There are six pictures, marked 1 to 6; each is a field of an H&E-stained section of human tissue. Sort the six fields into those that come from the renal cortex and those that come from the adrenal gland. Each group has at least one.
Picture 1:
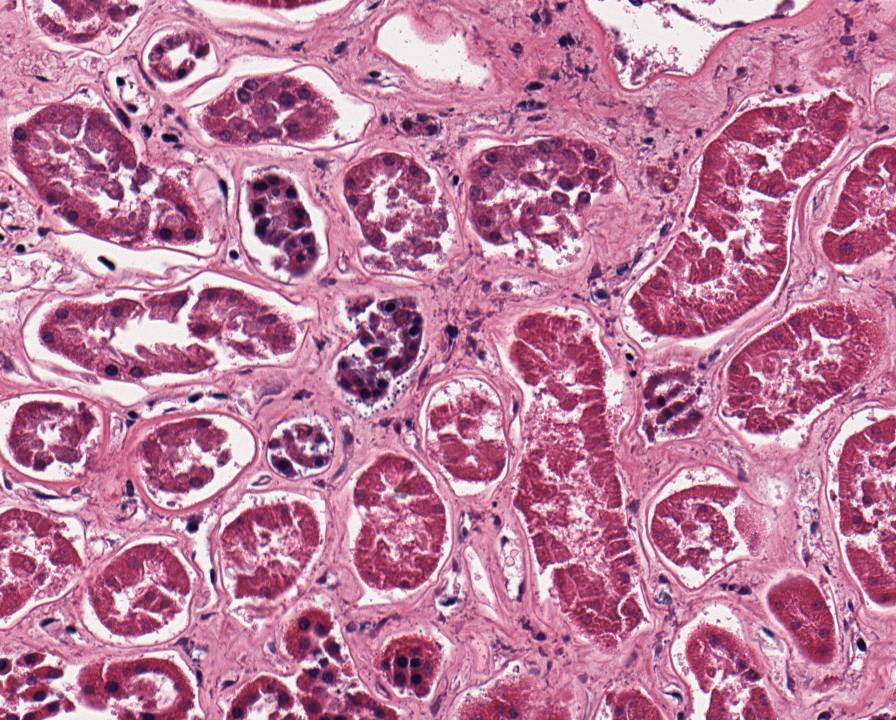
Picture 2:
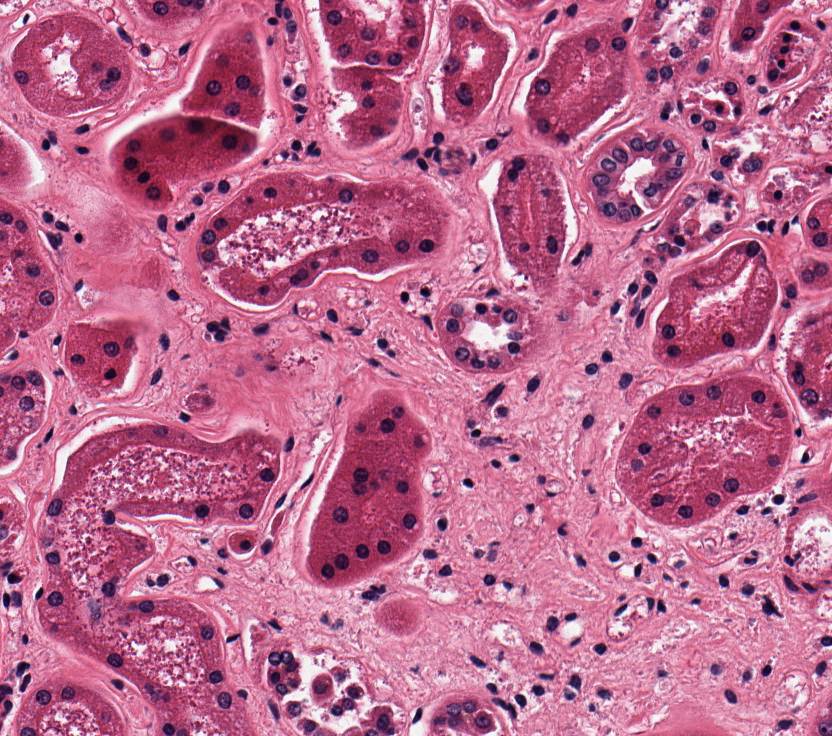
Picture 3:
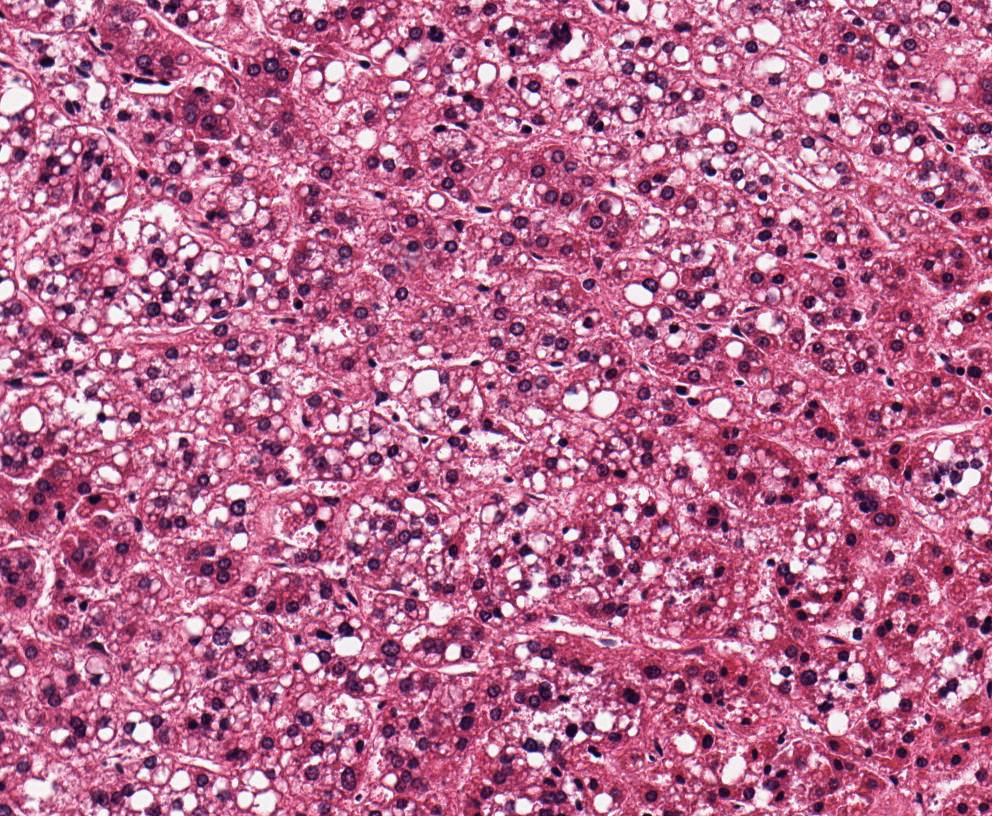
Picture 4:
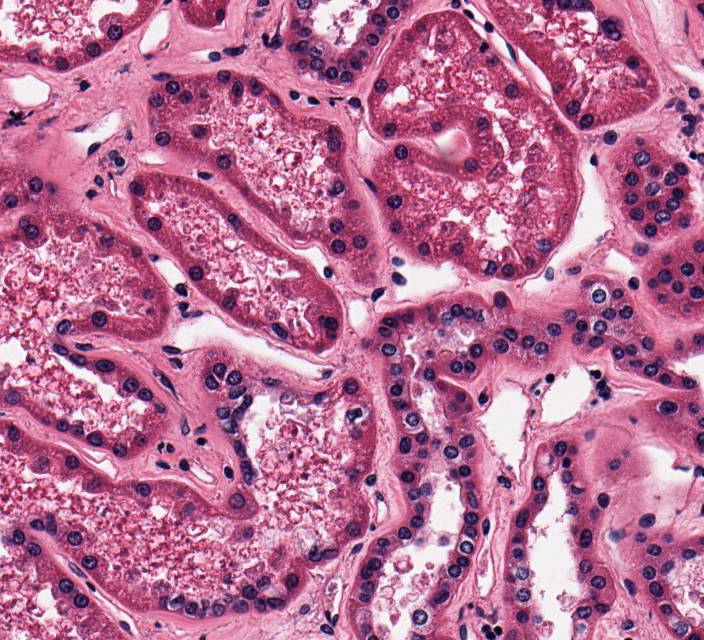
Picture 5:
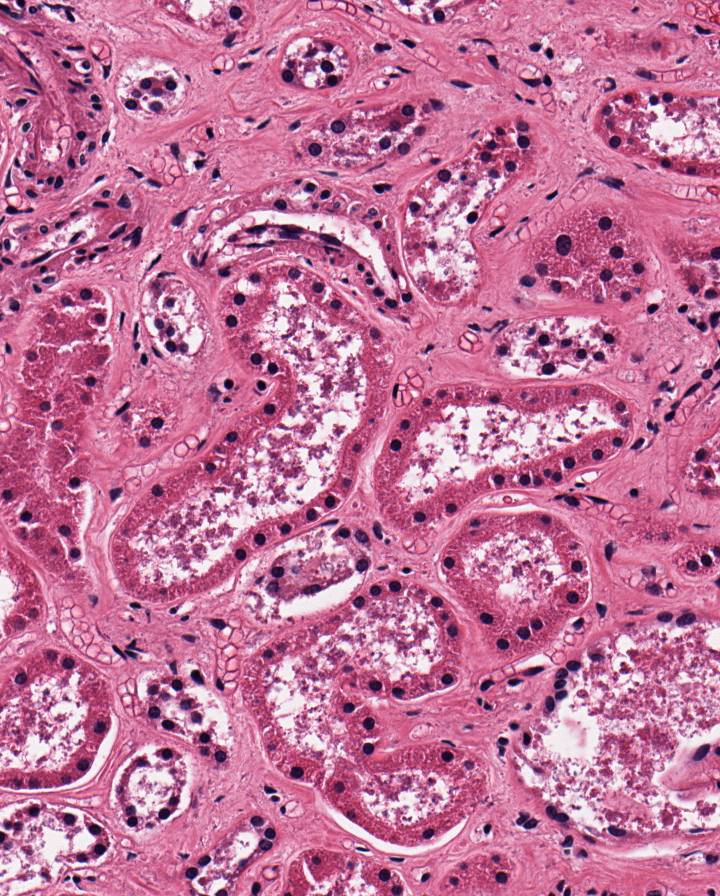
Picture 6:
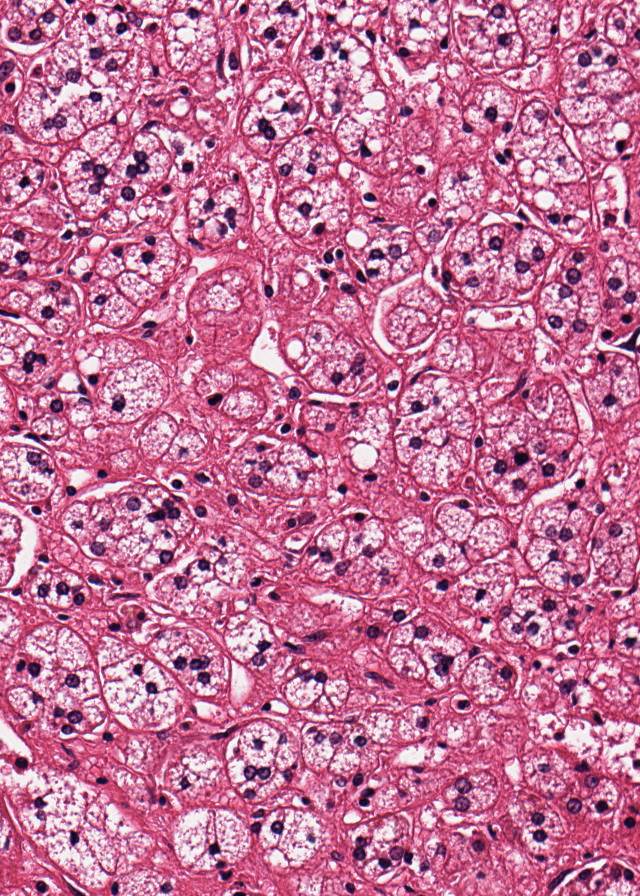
1: renal cortex
2: renal cortex
3: adrenal gland
4: renal cortex
5: renal cortex
6: adrenal gland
